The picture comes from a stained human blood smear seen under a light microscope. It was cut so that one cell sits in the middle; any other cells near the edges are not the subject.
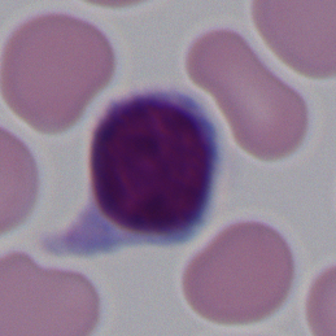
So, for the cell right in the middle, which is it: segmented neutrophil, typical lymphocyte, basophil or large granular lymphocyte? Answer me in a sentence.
The centered cell in this crop is a typical lymphocyte.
